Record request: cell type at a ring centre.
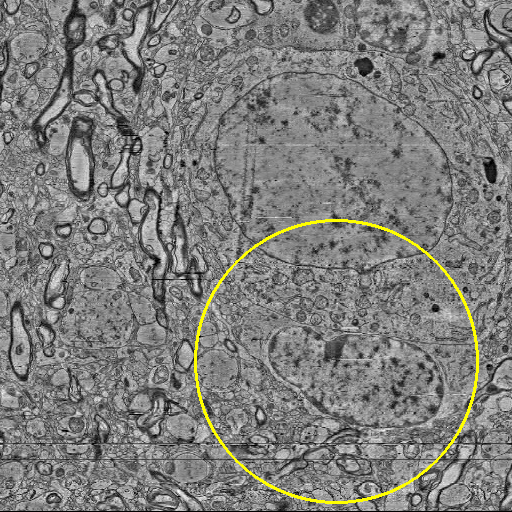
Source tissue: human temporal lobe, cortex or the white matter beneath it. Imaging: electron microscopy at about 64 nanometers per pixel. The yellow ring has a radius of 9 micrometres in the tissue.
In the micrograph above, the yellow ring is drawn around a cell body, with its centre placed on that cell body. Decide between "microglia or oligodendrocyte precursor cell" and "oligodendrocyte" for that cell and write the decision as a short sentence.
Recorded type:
The cell centred in the yellow ring is a microglial cell or oligodendrocyte precursor cell.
